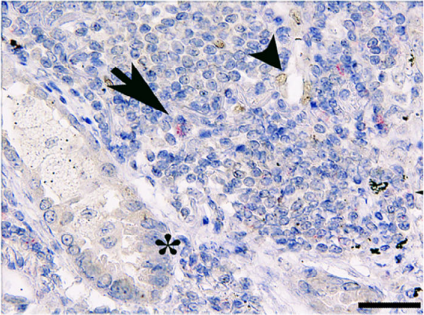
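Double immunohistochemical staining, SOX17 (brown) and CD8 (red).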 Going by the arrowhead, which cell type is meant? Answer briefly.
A: Tumor endothelial cells.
